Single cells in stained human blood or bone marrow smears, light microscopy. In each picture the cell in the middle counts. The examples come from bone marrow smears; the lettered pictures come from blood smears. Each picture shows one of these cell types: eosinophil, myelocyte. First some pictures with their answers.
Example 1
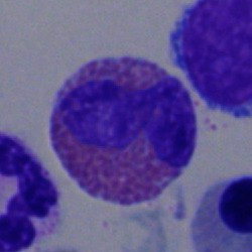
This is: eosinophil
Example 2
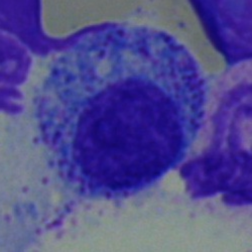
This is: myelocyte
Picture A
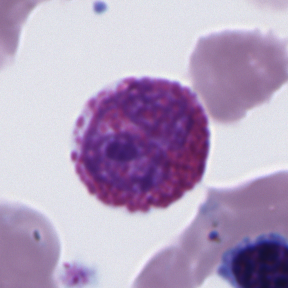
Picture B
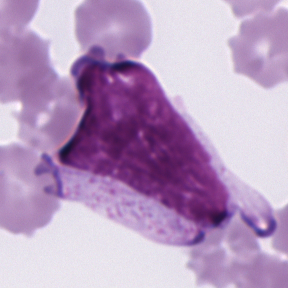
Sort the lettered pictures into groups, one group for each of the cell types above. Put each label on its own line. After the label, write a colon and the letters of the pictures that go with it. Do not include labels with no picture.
eosinophil: A
myelocyte: B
